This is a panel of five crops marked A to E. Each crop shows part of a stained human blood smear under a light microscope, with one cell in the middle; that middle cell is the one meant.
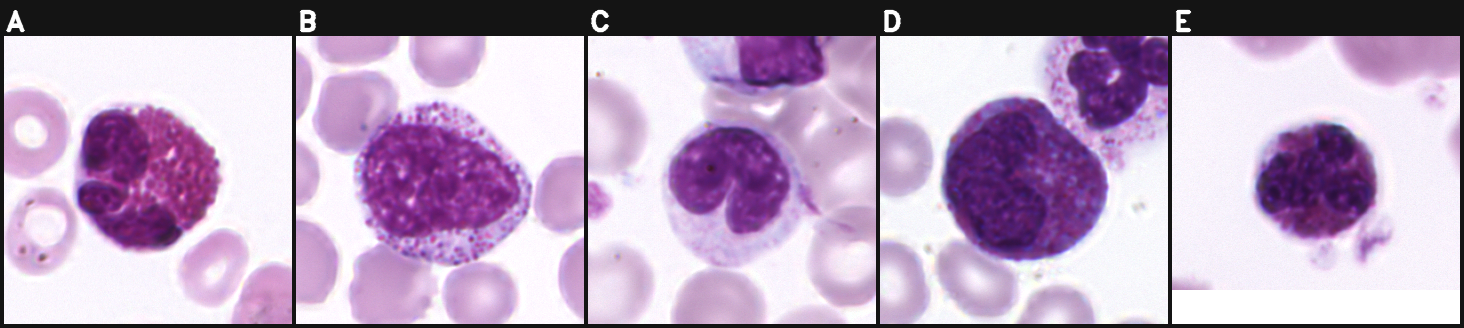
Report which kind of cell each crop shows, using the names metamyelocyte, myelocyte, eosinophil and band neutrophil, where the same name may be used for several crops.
A: eosinophil
B: metamyelocyte
C: band neutrophil
D: eosinophil
E: eosinophil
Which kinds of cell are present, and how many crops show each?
eosinophil: 3
metamyelocyte: 1
band neutrophil: 1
